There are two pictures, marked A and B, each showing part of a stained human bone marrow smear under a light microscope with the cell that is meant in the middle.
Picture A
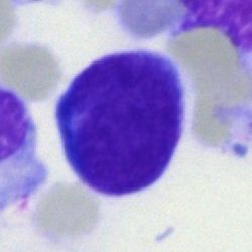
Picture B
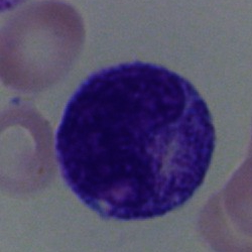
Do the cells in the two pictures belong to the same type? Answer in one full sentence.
No, the types are not the same, since picture A shows a blast and picture B a promyelocyte.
